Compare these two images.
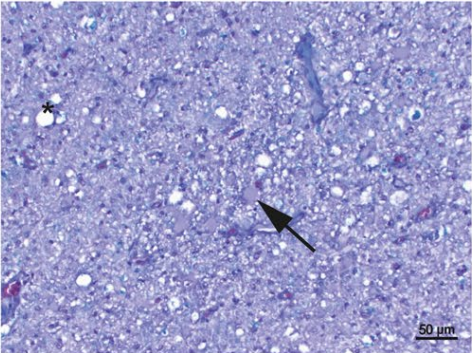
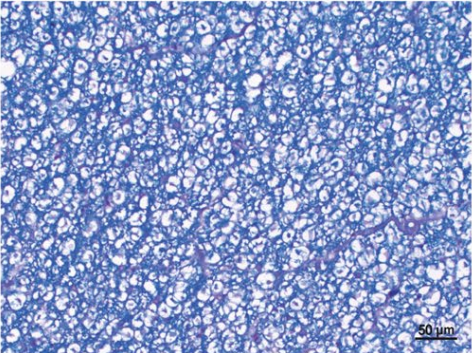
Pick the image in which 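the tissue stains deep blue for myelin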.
The second image.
